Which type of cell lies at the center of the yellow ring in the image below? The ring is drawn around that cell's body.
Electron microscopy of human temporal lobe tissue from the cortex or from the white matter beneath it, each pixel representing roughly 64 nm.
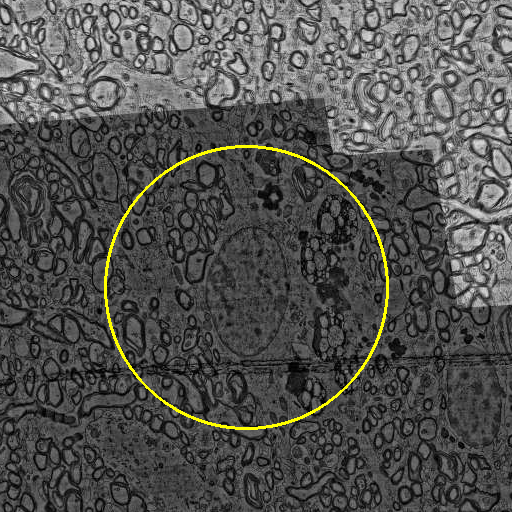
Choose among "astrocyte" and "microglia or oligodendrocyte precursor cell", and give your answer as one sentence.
The cell body at the center belongs to an astrocyte.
